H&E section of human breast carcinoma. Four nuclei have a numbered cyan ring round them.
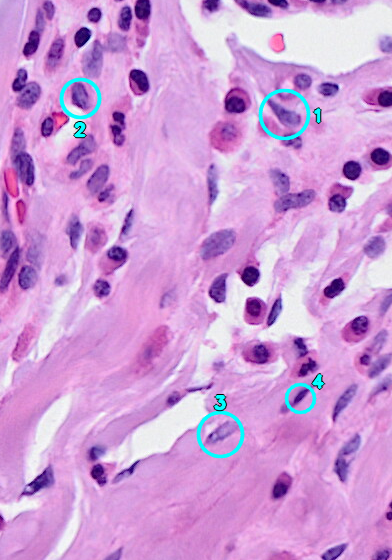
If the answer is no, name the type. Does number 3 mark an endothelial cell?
No, it is a fibroblast.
